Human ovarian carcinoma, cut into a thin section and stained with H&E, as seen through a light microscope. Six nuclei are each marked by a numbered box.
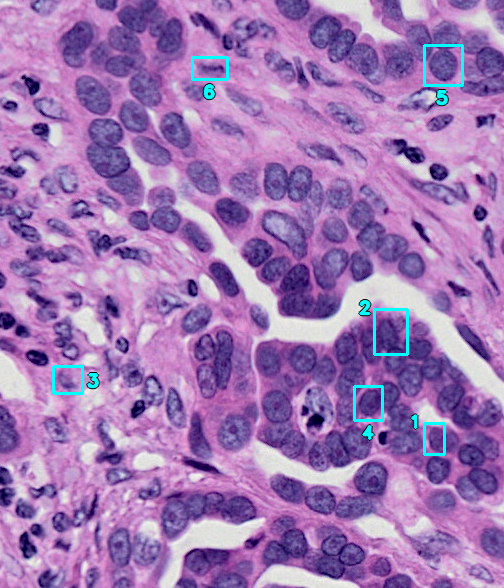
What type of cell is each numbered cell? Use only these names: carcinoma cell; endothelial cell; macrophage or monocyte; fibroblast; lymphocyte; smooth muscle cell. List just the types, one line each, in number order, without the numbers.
carcinoma cell
carcinoma cell
fibroblast
carcinoma cell
carcinoma cell
fibroblast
